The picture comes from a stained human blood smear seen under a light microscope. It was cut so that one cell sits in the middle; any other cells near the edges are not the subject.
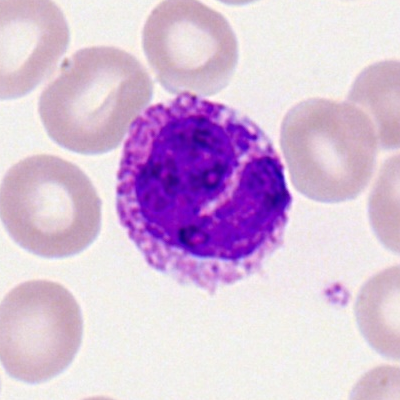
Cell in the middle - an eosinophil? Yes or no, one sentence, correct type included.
No, not an eosinophil here; the centered cell is a basophil.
